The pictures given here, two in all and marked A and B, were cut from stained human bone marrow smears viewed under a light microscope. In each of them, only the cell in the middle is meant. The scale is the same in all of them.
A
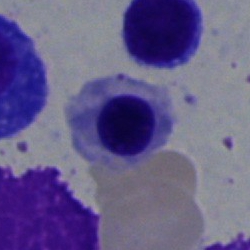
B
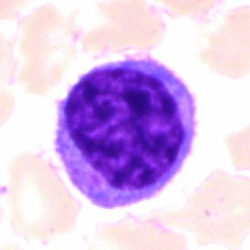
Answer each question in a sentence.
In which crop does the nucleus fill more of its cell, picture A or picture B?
Of the two, the nucleus in picture B makes up the greater part of its cell.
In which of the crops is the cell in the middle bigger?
It is the cell in picture B, about 2 times as large in area as the cell in picture A.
